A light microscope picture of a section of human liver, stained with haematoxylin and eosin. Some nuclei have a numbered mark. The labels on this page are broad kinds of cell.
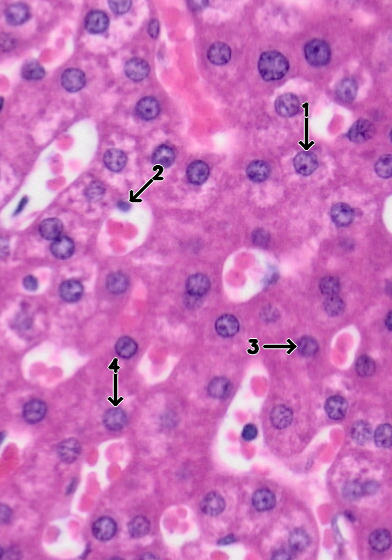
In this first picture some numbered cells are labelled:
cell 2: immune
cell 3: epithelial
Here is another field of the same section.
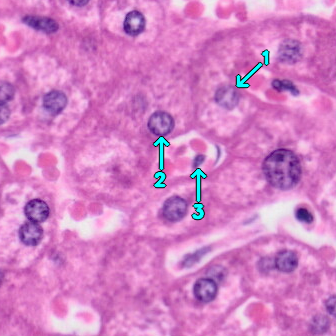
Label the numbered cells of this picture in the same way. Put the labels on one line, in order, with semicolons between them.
epithelial; epithelial; immune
